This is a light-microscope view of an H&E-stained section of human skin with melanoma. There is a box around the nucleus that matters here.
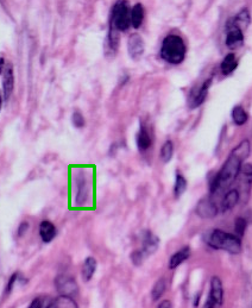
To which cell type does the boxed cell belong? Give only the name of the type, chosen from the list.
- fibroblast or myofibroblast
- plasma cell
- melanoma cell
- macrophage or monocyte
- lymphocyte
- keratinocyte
fibroblast or myofibroblast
